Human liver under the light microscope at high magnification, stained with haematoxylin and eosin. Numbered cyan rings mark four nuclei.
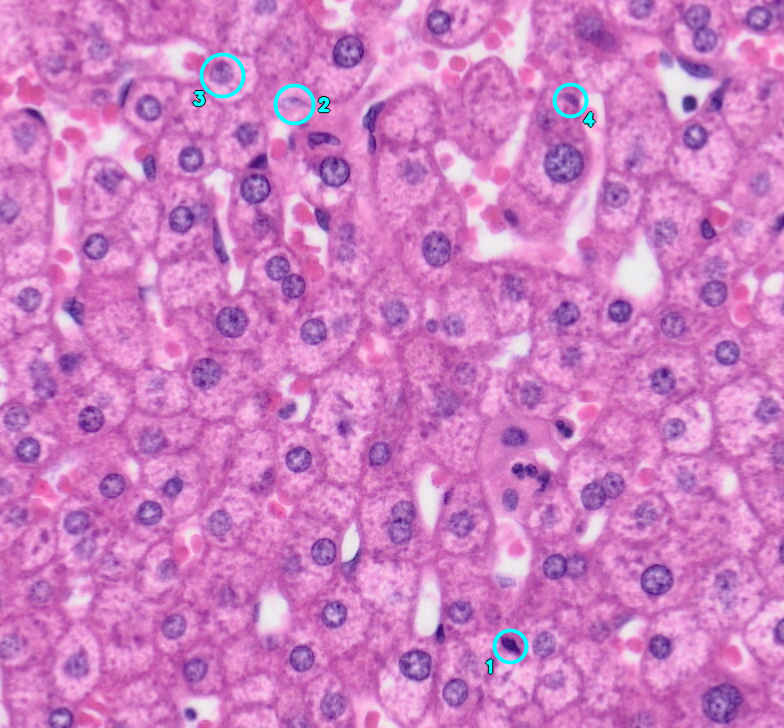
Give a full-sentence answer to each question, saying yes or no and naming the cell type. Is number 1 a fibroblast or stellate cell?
Yes, number 1 in this section denotes a fibroblast or stellate cell.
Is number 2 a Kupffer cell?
Yes, the numbered nucleus 2 is that of a Kupffer cell.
